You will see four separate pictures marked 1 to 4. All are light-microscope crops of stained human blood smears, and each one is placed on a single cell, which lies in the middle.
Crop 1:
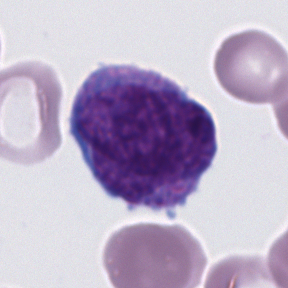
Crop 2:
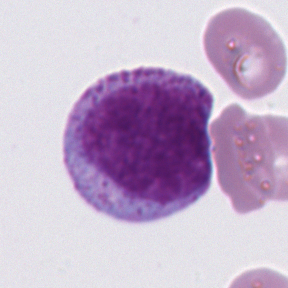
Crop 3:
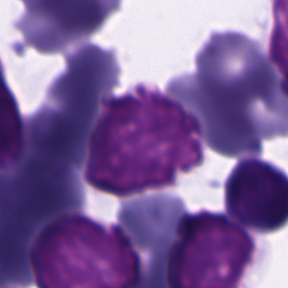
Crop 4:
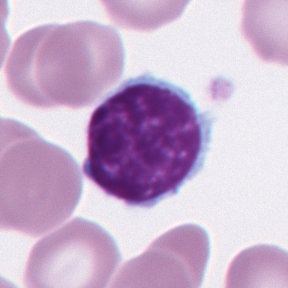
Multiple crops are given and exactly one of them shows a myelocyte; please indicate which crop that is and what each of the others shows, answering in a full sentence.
Inside crop 2 there is a myelocyte, while crop 1 is an atypical promyelocyte, crop 3 is a smudge cell and crop 4 is a typical lymphocyte.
